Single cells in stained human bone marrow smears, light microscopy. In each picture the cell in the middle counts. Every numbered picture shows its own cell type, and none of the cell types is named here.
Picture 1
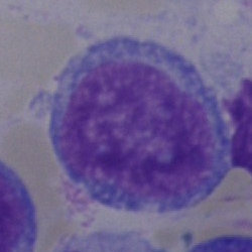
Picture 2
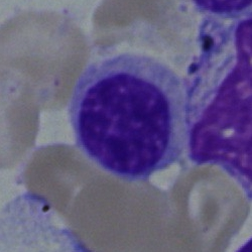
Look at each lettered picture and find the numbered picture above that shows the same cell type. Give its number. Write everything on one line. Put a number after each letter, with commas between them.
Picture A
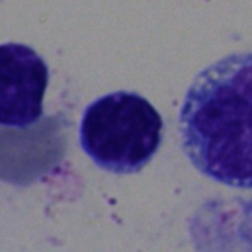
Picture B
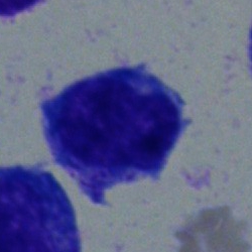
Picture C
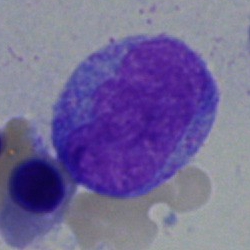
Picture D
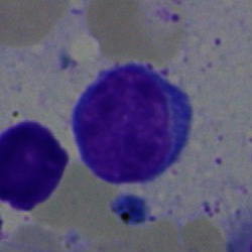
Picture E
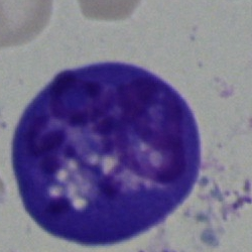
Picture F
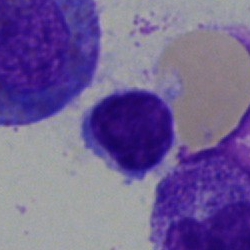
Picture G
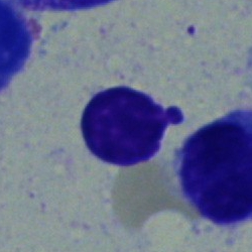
A 2, B 1, C 1, D 2, E 1, F 2, G 2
